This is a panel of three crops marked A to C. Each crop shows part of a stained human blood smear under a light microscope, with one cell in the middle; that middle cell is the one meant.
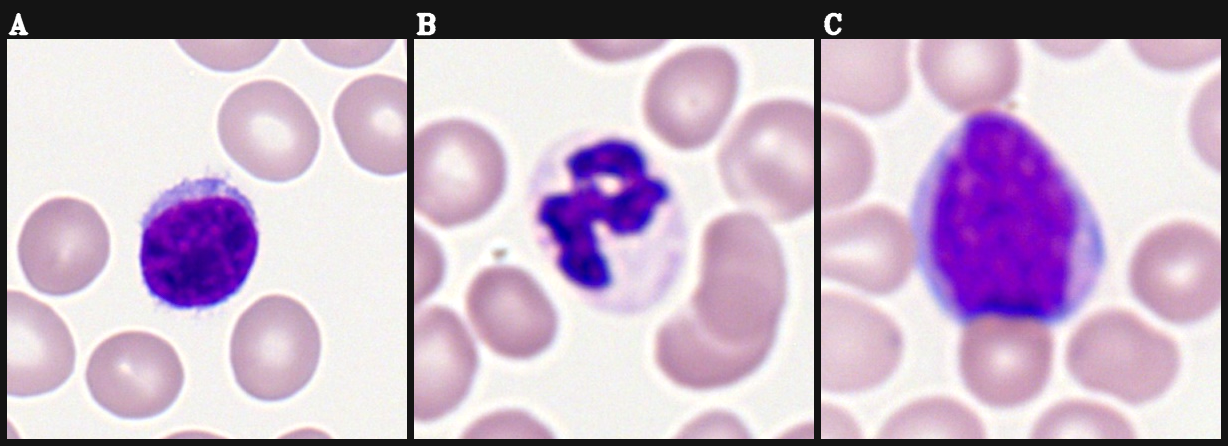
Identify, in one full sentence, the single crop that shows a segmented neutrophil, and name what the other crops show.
Crop B should be logged as a segmented neutrophil, while crop A is a lymphocyte and crop C is a myeloblast.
